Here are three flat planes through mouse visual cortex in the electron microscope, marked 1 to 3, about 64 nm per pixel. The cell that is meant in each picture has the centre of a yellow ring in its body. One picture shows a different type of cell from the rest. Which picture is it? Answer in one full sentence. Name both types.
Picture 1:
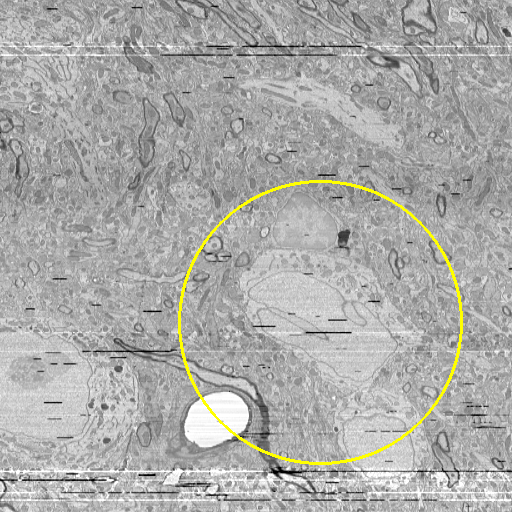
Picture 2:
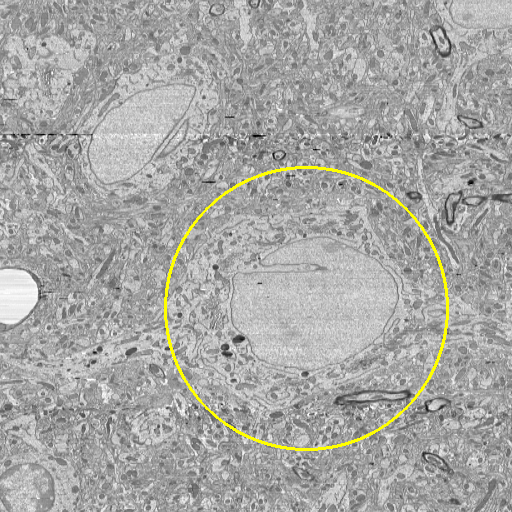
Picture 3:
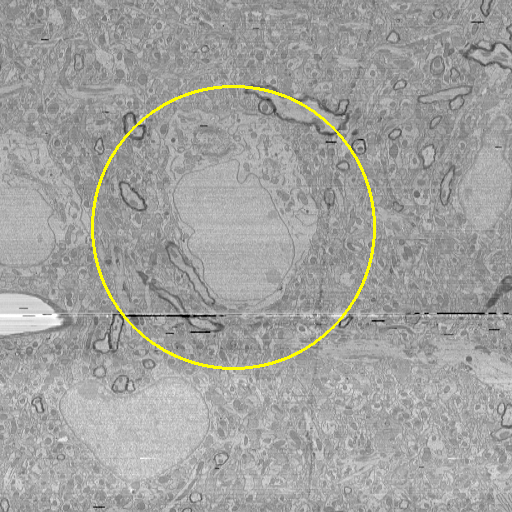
The different one is picture 2; it shows an inhibitory neuron, whereas all the others show excitatory neurons.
